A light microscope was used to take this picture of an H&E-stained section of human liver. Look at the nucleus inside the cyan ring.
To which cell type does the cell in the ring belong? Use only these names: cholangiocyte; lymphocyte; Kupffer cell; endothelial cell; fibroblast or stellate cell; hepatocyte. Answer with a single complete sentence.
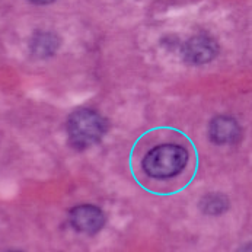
In cellular terms, the cell in the ring is a hepatocyte.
